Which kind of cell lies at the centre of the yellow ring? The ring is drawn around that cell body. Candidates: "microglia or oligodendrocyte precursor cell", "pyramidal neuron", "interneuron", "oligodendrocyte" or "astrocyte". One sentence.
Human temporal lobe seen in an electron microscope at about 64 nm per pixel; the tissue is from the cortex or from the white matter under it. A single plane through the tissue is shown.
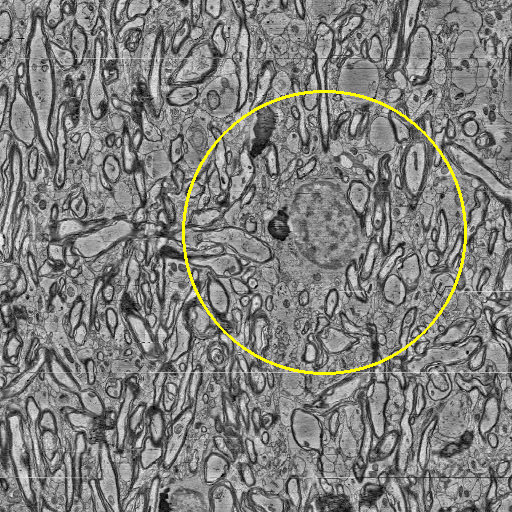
Lying at the centre of the ring is an oligodendrocyte.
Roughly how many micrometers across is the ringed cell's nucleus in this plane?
In this plane, the nucleus measures approximately 5 micrometres across.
